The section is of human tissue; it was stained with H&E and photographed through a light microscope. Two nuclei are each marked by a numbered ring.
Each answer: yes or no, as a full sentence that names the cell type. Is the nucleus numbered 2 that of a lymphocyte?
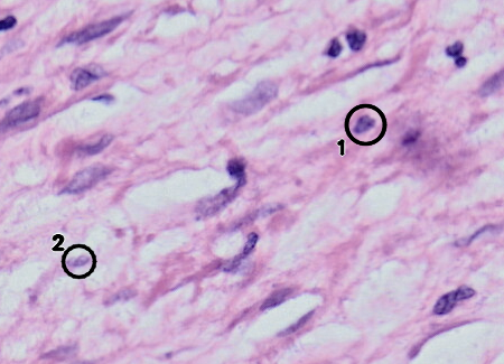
No, for cell 2, the correct identification is a fibroblast or myofibroblast instead of a lymphocyte.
